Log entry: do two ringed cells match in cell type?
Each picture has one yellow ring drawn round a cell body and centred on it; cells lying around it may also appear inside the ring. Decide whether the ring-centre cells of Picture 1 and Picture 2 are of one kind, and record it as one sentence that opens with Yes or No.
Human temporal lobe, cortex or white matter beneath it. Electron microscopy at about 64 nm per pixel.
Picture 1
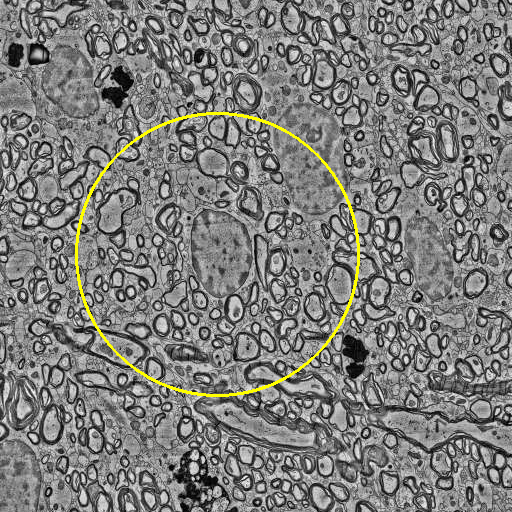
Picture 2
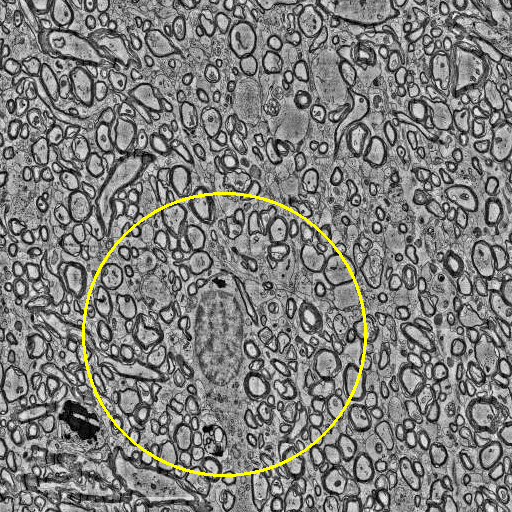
No, the cells at the ring centres of the two pictures belong to two kinds.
